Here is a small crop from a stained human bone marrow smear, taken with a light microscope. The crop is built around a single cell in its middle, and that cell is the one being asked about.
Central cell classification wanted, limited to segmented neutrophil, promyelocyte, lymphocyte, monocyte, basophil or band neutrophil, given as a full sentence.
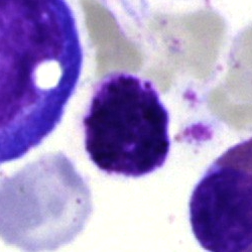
The cell centered in this field of view is a basophil.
